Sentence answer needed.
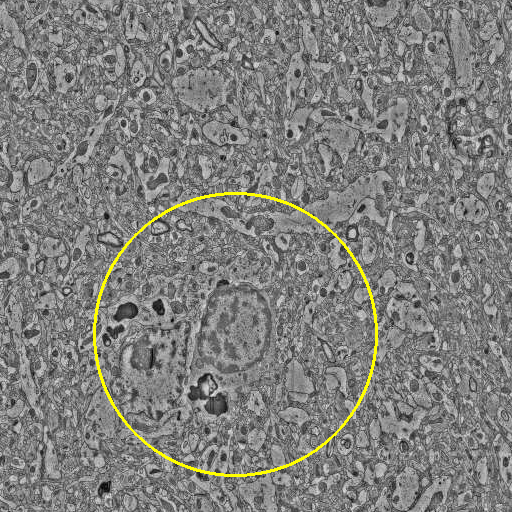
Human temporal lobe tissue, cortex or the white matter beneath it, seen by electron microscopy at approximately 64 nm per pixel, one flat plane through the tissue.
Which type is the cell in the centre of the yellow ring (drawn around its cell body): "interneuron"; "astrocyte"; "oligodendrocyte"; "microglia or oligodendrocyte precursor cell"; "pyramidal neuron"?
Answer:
In the centre of the yellow ring is an oligodendrocyte.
